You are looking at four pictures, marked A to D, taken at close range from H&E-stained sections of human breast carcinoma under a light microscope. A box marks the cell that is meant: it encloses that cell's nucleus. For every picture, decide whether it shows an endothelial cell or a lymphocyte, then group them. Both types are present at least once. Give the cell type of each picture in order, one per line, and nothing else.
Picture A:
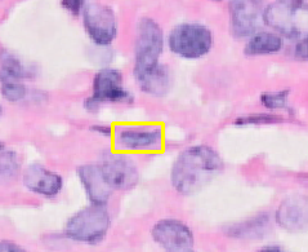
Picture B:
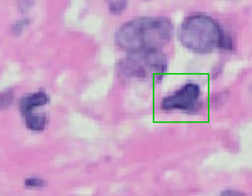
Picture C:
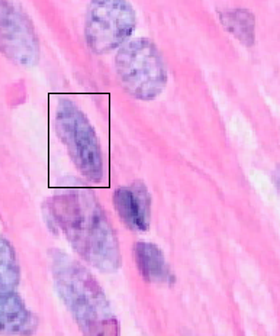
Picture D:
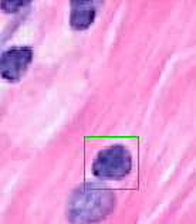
endothelial cell
lymphocyte
endothelial cell
lymphocyte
